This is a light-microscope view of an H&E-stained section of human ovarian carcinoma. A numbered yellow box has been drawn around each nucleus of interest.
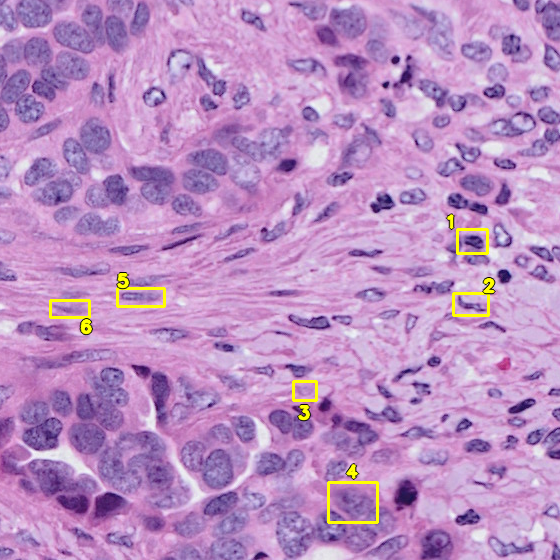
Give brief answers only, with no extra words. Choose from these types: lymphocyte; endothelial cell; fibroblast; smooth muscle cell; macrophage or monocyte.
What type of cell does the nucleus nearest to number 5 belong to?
fibroblast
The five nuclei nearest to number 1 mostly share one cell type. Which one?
fibroblast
